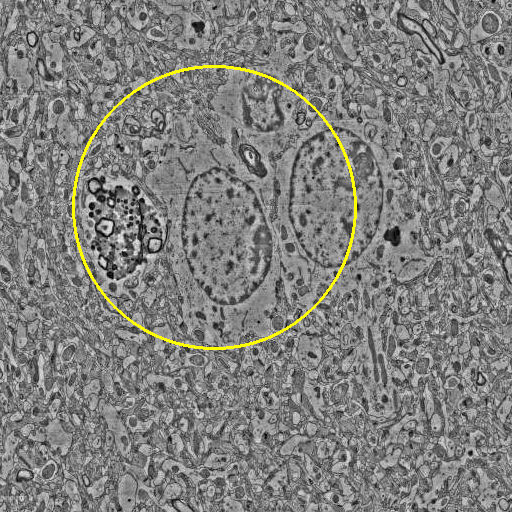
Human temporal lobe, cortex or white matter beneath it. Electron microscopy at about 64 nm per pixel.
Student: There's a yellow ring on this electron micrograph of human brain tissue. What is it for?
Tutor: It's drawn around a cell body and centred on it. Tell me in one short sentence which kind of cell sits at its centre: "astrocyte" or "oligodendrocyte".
The cell at the centre of the ring is an astrocyte.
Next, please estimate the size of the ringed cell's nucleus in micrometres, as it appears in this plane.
The nucleus is approximately 9 micrometres long but only about 6 wide, clearly longer than it is wide in this plane.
